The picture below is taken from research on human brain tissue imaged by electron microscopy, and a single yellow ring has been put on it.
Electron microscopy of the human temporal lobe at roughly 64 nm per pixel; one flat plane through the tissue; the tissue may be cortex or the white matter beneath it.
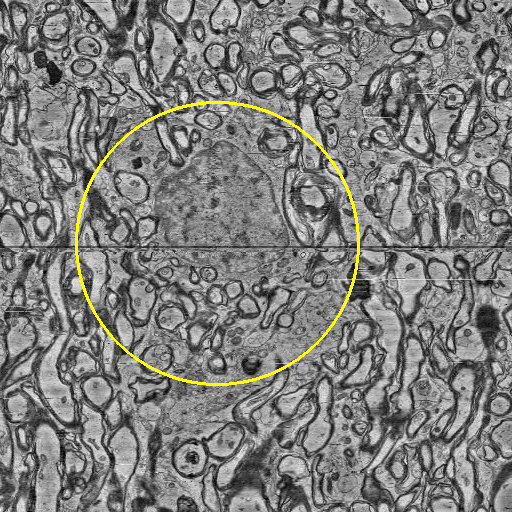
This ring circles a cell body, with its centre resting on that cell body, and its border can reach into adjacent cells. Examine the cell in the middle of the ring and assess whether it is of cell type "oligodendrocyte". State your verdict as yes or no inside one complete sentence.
Yes, in the picture, the cell lying at the centre of the ring is of this type.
